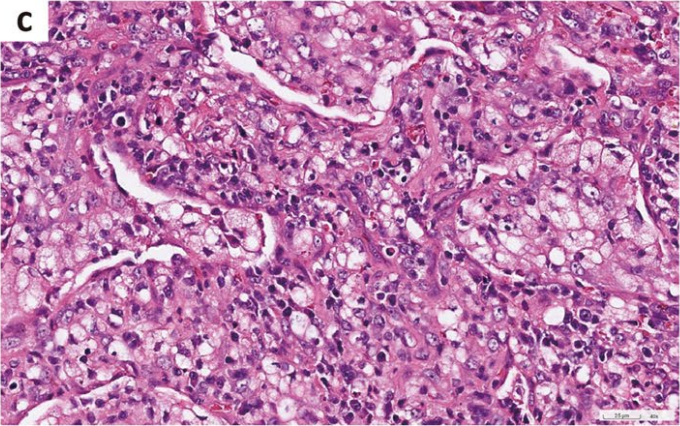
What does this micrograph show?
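Lung tissue filled with foamy histiocytes, seen at high magnification. Groups of large cells with abundant pale, finely bubbly cytoplasm lie packed together, largely filling the airspaces. Thin pink strands of fibrous tissue wind between the groups. Narrow, slit-like clear spaces remain in places. Scattered smaller cells with dense dark nuclei and scant cytoplasm lie mixed among the pale cells and along the strands, in keeping with other inflammatory cells. Normal thin-walled, open alveoli are not seen in this field.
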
